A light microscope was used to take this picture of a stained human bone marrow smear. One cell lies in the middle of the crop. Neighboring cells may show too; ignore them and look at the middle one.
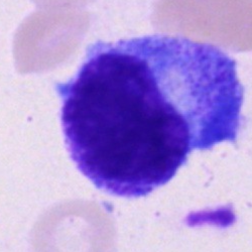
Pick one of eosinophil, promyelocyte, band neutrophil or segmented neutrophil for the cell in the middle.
promyelocyte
